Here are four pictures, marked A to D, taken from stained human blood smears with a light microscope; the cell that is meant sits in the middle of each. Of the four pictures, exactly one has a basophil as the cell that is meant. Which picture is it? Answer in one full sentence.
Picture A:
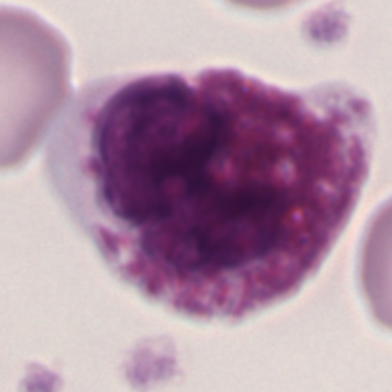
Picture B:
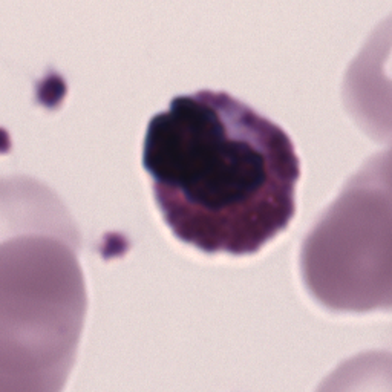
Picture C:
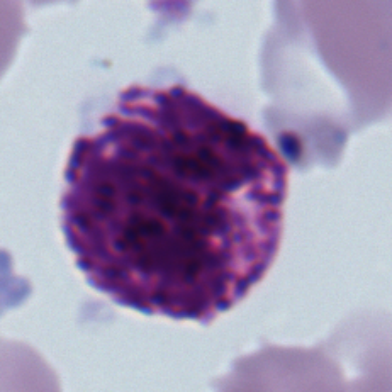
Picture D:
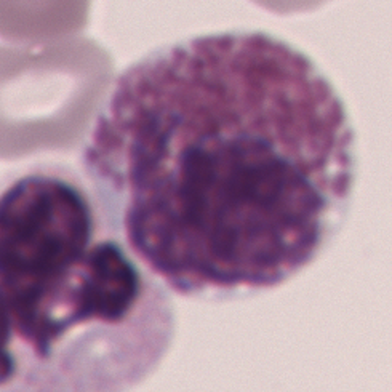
The picture with the basophil is C.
